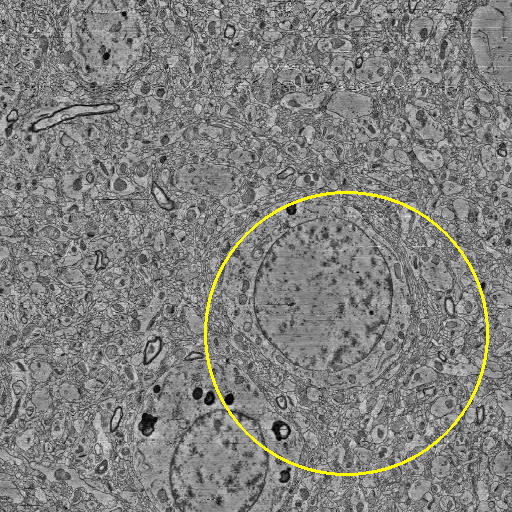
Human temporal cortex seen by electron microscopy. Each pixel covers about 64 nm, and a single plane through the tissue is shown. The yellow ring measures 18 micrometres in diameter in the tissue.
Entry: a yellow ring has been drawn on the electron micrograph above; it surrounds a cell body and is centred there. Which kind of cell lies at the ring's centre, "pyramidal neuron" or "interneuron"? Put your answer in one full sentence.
The cell sitting at the ring's centre is a pyramidal neuron in the micrograph above.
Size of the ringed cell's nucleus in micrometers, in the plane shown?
The ringed cell's nucleus measures approximately 11 by 9 micrometres in this plane.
